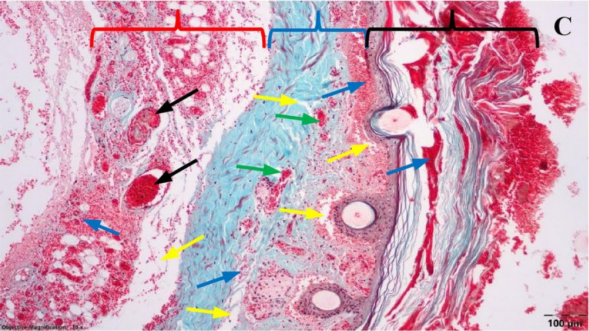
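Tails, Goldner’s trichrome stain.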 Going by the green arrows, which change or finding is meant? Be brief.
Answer: Congestion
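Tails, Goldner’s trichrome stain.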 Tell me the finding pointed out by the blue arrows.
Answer: haemorrhage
